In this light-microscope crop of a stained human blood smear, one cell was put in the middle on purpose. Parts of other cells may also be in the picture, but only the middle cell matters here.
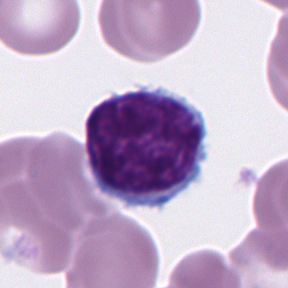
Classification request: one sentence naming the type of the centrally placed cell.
The centered cell in this crop is a lymphocyte.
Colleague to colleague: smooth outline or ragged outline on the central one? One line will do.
Irregularity marks the cell border, whether as raggedness or as projections.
